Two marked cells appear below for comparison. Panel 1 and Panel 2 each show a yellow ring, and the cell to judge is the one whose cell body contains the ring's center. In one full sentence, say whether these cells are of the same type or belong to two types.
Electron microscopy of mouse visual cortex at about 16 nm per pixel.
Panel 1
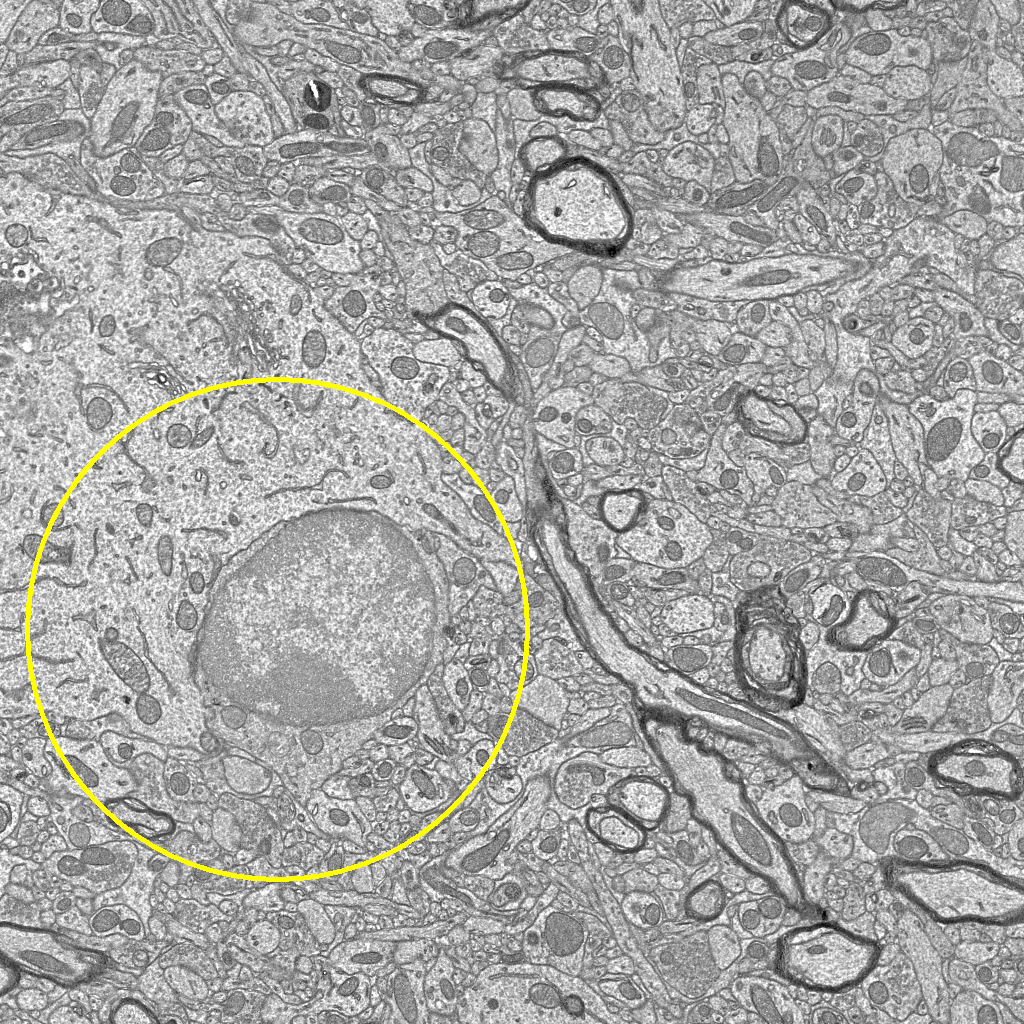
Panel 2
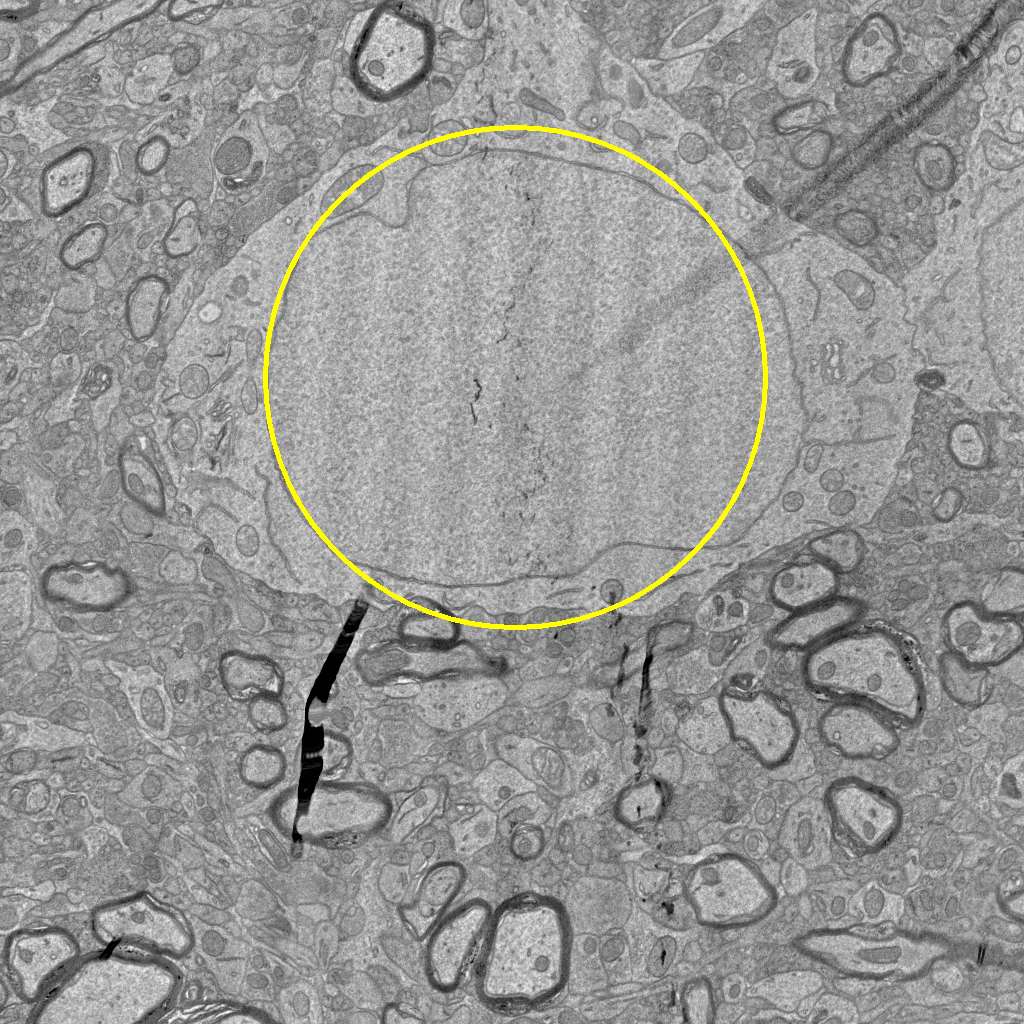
The cell at the ring's center in Panel 1 and the one in Panel 2 belong to two types.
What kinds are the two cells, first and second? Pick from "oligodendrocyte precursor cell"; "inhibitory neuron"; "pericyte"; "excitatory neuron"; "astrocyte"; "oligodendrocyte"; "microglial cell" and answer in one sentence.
The ring of the first picture is on an oligodendrocyte, the ring of the second on an excitatory neuron.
